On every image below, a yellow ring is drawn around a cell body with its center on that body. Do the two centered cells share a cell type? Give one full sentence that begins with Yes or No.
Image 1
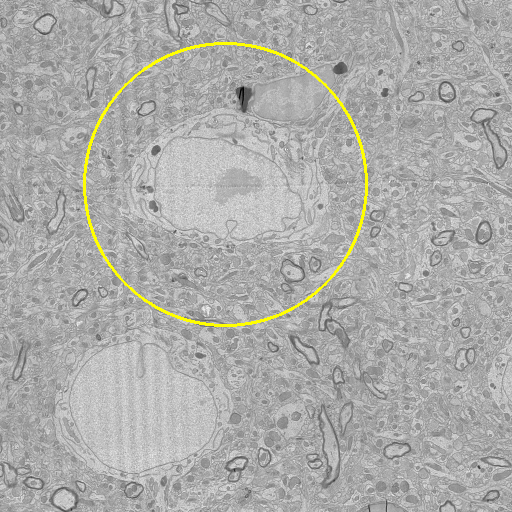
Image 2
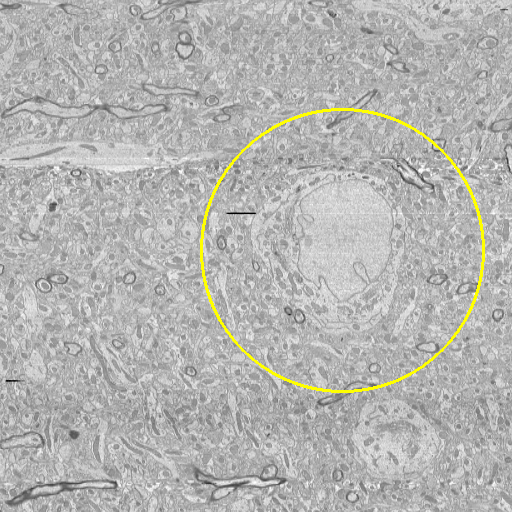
Yes, the centered cells in the two images are of a single cell type.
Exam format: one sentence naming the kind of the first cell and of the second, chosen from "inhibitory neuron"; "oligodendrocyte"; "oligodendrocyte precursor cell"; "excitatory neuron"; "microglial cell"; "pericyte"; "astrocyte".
Each cell at the centre of a ring is an inhibitory neuron.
